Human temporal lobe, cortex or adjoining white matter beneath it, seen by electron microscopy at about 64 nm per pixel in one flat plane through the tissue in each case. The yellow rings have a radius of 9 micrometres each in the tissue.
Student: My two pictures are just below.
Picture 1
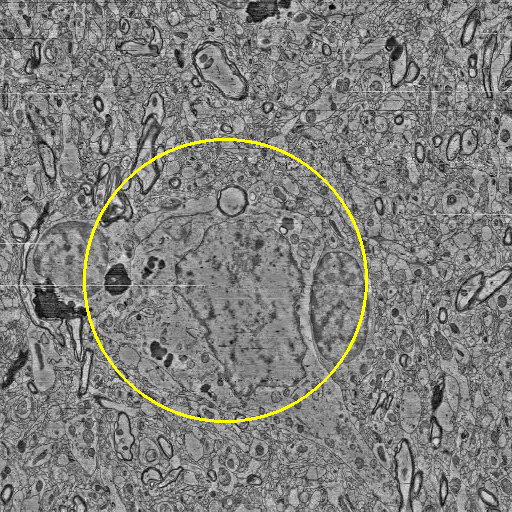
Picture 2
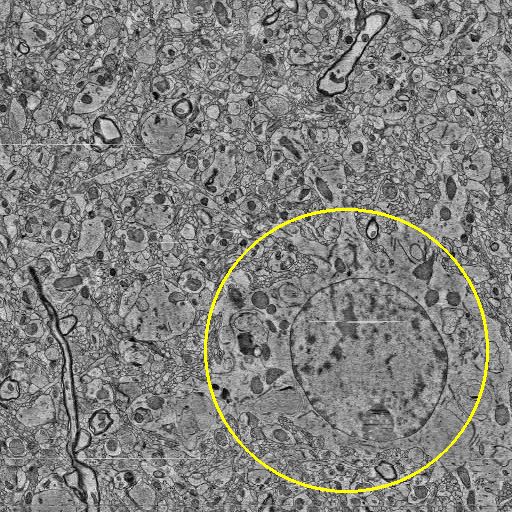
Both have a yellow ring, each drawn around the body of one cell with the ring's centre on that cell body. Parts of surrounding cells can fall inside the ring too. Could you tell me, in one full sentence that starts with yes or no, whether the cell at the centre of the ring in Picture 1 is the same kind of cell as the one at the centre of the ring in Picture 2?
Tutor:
No, the two cells are of two kinds.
